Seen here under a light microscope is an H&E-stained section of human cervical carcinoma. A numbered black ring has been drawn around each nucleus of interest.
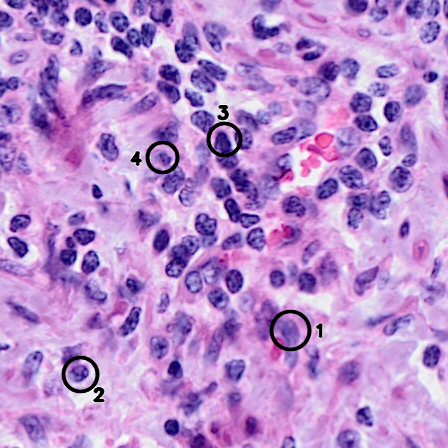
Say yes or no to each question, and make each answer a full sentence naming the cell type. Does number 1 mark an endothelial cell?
Yes, to put it simply, cell number 1 is an endothelial cell.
